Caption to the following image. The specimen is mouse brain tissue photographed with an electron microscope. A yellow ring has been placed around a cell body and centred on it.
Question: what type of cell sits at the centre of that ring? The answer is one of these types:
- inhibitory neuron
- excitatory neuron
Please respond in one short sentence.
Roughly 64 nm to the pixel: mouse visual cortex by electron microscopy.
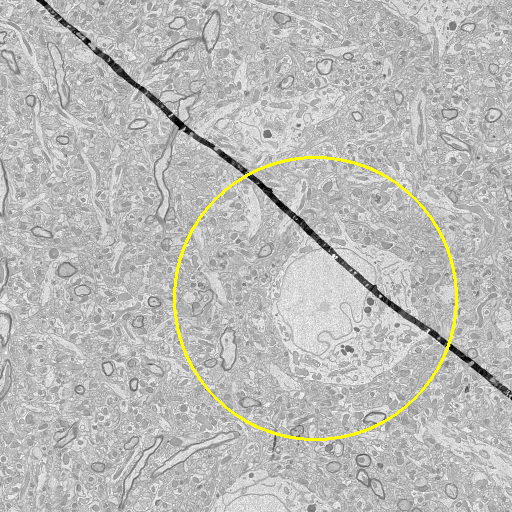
The ring surrounds the cell body of an inhibitory neuron.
